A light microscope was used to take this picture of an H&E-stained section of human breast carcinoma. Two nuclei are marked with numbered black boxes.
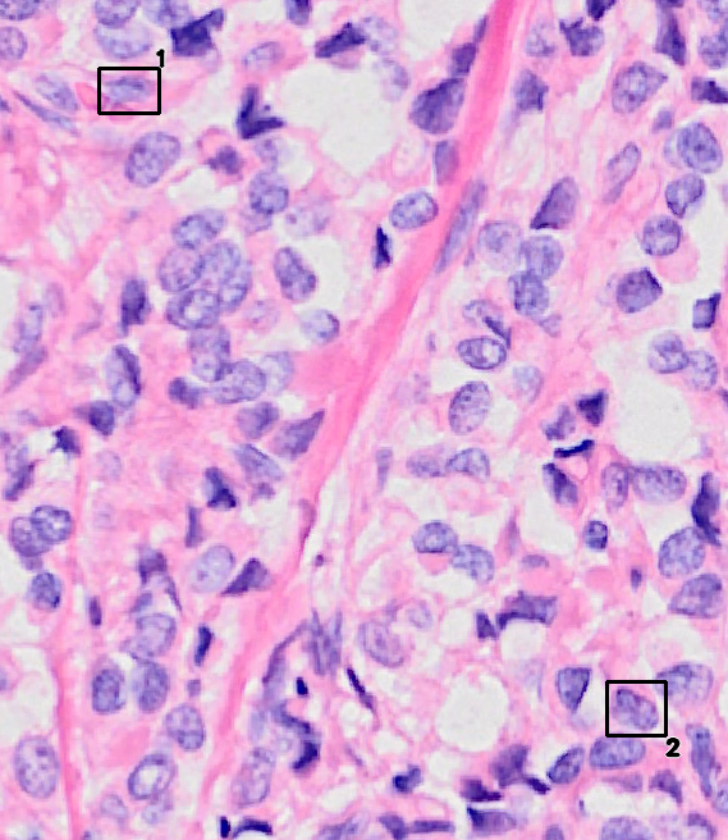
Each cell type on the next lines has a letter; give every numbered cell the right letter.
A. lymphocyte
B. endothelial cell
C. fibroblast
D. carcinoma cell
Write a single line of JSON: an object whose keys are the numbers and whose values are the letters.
{"1": "B", "2": "D"}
